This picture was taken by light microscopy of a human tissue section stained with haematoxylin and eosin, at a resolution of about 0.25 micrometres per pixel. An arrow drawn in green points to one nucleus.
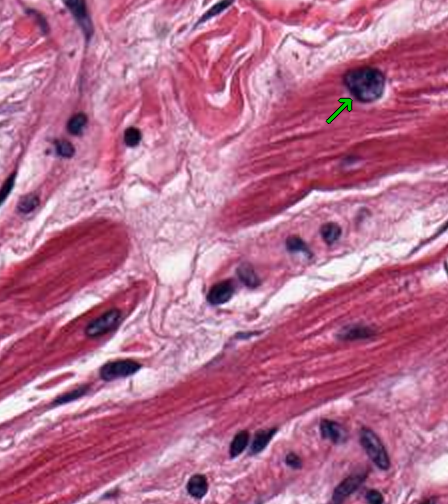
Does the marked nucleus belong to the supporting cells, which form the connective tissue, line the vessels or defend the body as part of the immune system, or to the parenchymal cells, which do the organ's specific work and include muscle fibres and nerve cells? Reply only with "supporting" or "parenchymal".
parenchymal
